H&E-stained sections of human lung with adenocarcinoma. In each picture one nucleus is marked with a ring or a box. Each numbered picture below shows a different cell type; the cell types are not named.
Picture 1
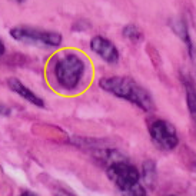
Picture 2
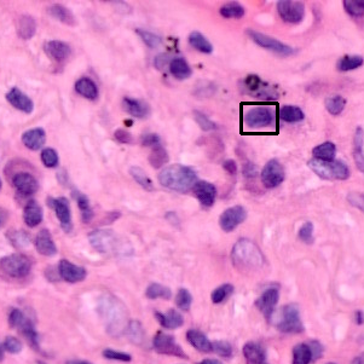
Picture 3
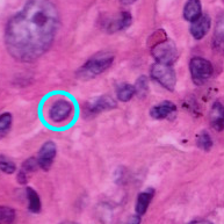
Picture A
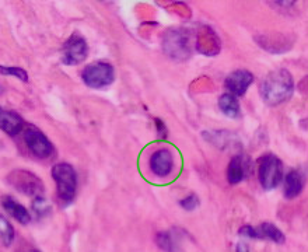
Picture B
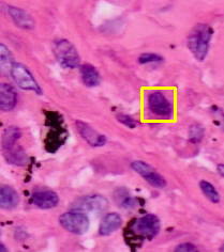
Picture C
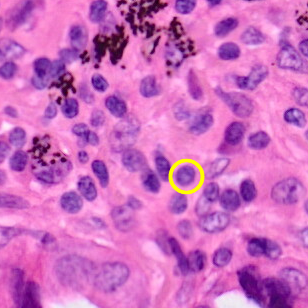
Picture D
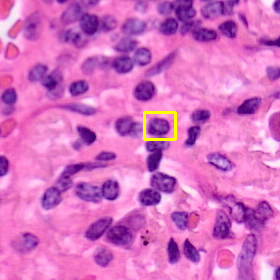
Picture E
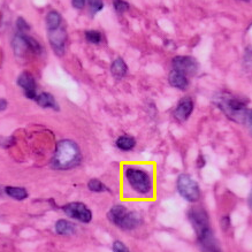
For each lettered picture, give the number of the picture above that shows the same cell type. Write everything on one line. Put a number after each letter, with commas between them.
A 3, B 1, C 2, D 2, E 3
